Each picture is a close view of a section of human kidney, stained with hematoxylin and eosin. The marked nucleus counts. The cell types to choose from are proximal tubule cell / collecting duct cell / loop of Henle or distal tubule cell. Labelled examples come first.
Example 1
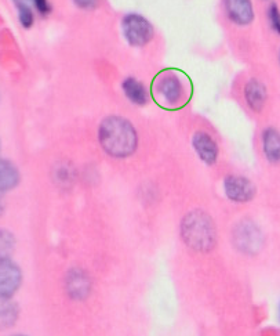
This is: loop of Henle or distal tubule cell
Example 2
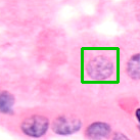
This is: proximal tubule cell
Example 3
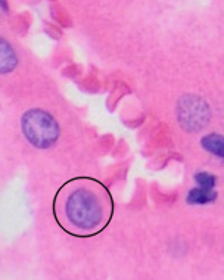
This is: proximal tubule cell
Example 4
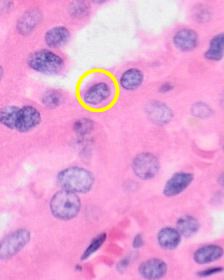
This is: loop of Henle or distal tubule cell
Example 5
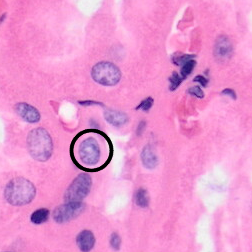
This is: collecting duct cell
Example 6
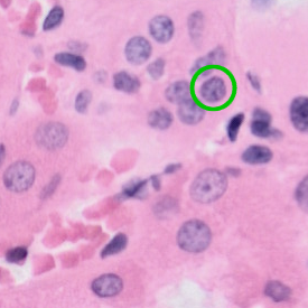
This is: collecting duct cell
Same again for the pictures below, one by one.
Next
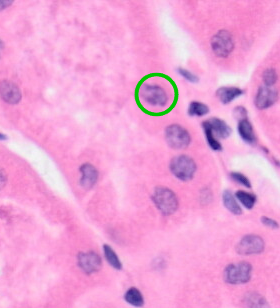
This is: proximal tubule cell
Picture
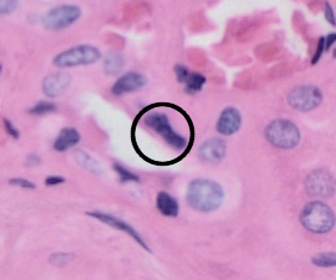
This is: collecting duct cell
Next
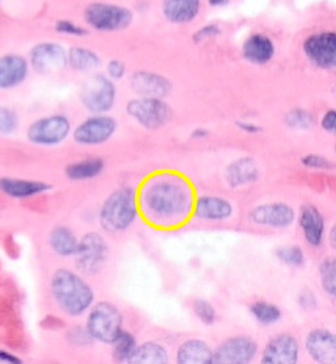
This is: collecting duct cell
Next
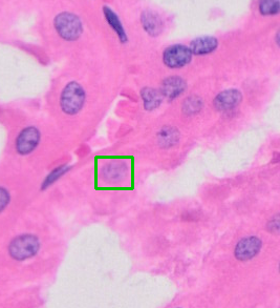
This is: proximal tubule cell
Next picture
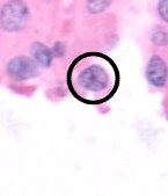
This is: loop of Henle or distal tubule cell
